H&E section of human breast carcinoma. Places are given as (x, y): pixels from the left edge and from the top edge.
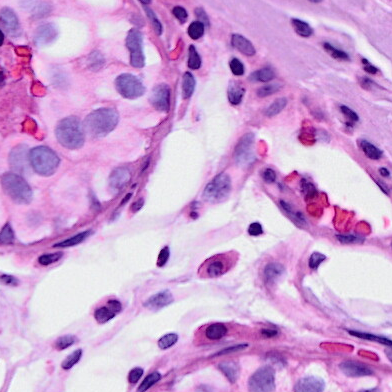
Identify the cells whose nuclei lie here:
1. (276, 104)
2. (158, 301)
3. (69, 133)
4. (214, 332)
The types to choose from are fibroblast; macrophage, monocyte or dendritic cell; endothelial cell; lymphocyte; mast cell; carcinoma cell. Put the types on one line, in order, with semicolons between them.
endothelial cell; fibroblast; carcinoma cell; mast cell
